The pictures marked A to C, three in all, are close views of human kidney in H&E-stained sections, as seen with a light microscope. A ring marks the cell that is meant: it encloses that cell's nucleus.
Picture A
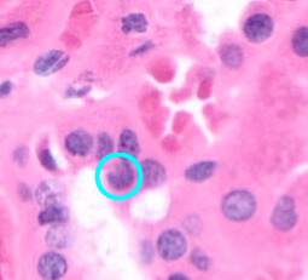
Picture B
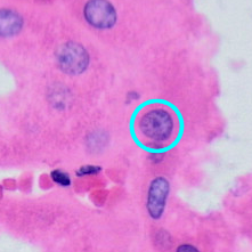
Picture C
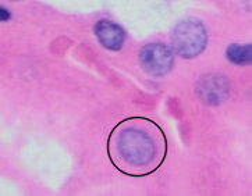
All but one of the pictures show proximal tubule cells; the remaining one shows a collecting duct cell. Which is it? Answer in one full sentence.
Picture A is the one that shows the collecting duct cell.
